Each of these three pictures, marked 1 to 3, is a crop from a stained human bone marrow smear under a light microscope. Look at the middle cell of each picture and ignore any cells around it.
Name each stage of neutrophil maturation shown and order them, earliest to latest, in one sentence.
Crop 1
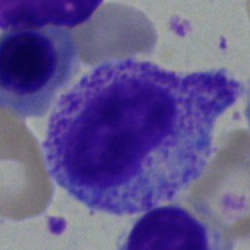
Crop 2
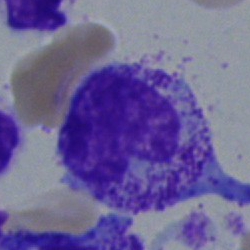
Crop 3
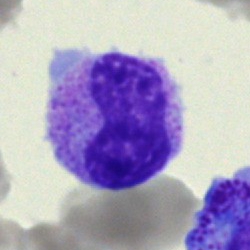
In terms of maturity, from lowest to highest, the order reads crop 1 (a myelocyte), crop 2 (a metamyelocyte) and crop 3 (a band neutrophil).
